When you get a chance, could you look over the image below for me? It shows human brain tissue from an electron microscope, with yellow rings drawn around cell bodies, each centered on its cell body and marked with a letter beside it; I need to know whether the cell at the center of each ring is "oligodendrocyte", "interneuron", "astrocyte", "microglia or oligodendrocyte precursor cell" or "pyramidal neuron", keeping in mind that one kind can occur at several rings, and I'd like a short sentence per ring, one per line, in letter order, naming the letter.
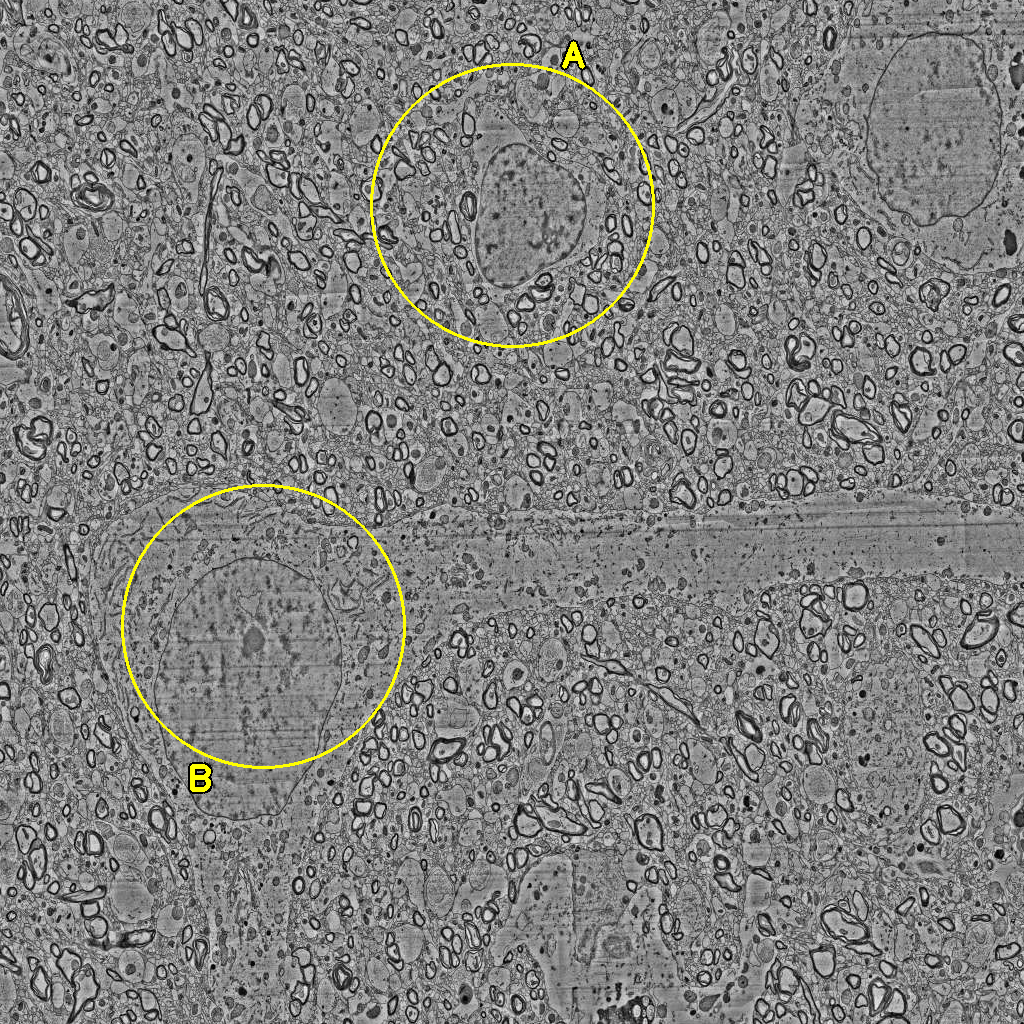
Ring A is centered on a microglial cell or oligodendrocyte precursor cell.
Ring B is centered on a pyramidal neuron.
